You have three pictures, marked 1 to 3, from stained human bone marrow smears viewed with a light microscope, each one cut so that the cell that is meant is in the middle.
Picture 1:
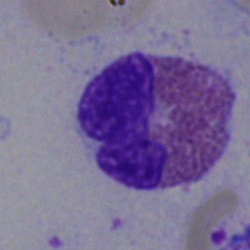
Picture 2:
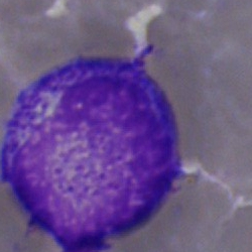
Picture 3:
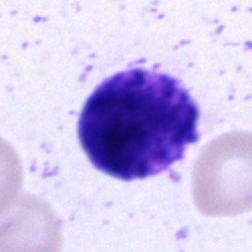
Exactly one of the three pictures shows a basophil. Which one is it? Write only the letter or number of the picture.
3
